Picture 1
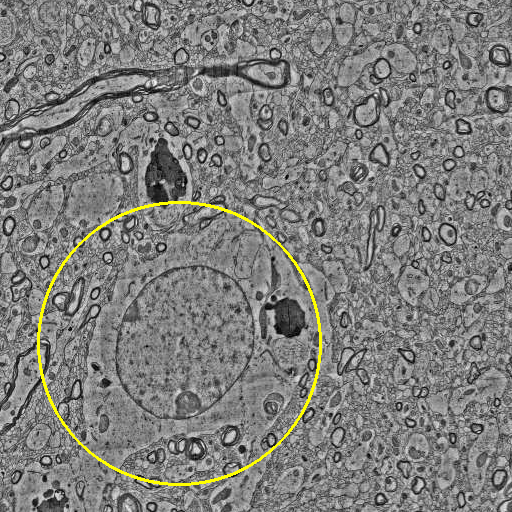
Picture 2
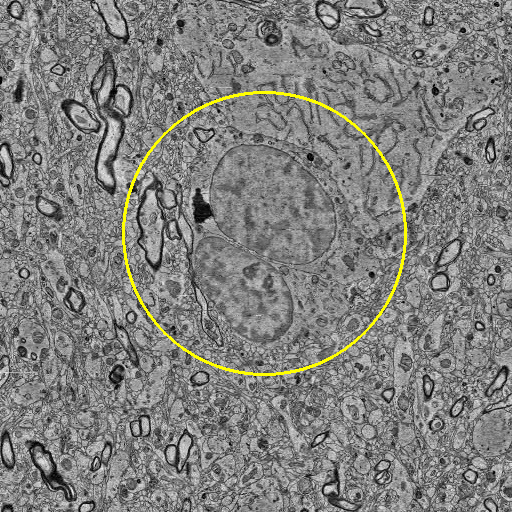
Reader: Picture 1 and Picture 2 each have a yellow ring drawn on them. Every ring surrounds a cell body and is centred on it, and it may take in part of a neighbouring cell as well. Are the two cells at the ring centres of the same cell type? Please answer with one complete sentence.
No, the cells are of two cell types.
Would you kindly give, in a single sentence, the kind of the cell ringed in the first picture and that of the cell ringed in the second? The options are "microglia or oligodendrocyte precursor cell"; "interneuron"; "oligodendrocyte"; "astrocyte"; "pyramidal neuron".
The second cell is an oligodendrocyte, and the first cell is an astrocyte.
